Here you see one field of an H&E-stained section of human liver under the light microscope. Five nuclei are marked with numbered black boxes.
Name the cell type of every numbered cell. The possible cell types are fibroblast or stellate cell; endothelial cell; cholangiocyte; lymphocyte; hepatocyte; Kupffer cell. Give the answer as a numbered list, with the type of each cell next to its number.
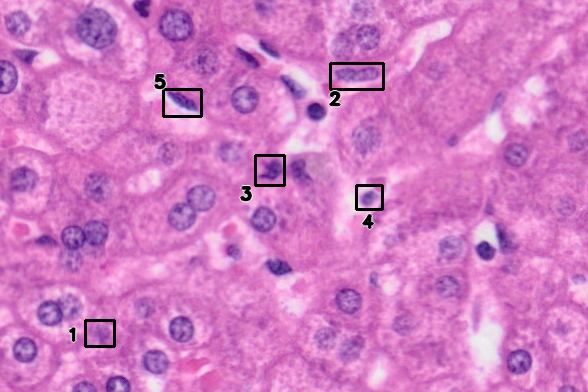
1. hepatocyte
2. Kupffer cell
3. fibroblast or stellate cell
4. lymphocyte
5. endothelial cell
